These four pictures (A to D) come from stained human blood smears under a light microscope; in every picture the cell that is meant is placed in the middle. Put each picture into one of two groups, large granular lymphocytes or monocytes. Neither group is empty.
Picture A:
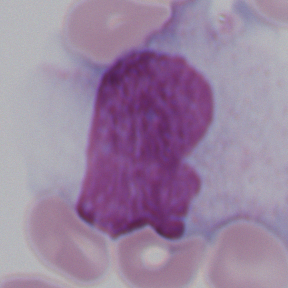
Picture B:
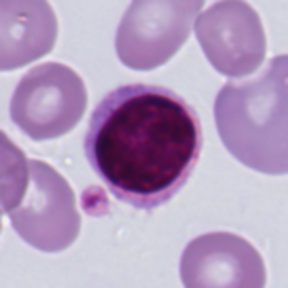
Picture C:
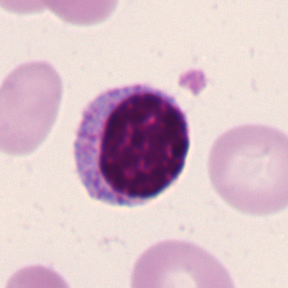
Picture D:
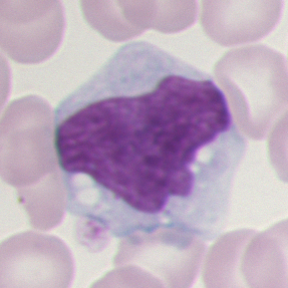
A: monocyte
B: large granular lymphocyte
C: large granular lymphocyte
D: monocyte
